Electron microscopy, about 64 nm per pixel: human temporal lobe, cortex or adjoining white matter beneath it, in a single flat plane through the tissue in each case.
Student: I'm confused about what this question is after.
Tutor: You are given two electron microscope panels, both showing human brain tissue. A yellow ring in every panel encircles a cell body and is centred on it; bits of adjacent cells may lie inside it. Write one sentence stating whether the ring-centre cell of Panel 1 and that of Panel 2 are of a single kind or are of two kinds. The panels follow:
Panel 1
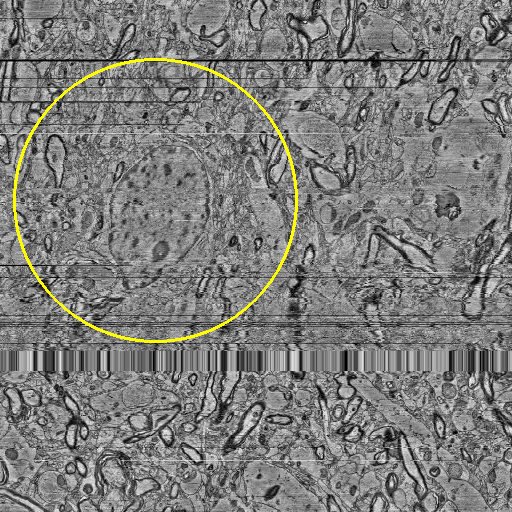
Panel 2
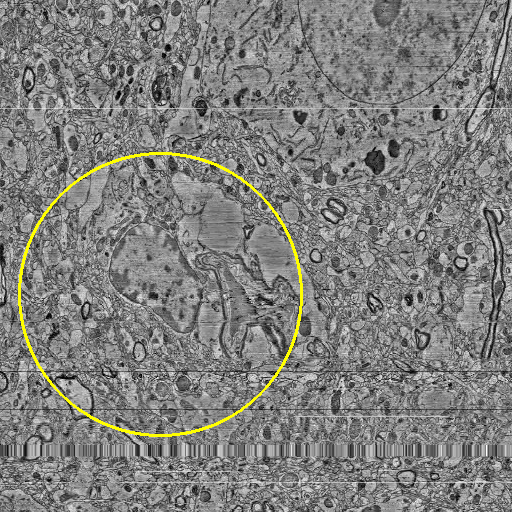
Here, the Panel 1 ring-centre cell and the Panel 2 ring-centre cell are of a single kind.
